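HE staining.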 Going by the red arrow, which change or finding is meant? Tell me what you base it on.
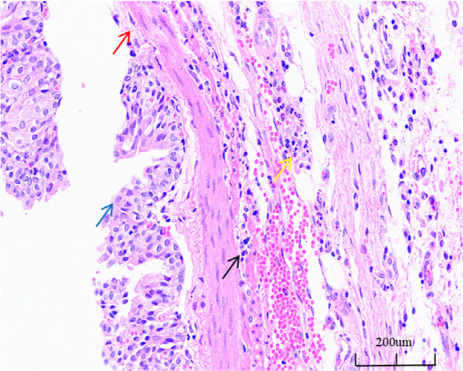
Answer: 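Exfoliated epithelial cells. The arrow points at the luminal surface of the lining. Fragments of epithelium lie detached in the lumen.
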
